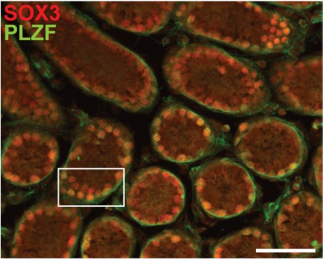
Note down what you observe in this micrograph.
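The tubules are round to oval and packed closely, with thin strips of interstitial tissue between them. Along the inner side of each tubule wall sits a single row of rounded nuclei that glow orange to yellow where red and green overlap, while the tubule centres show only a faint diffuse tint. The green also outlines the thin tubule walls and the tissue between tubules.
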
